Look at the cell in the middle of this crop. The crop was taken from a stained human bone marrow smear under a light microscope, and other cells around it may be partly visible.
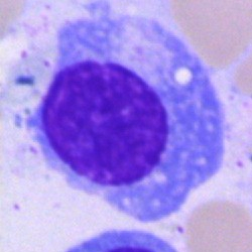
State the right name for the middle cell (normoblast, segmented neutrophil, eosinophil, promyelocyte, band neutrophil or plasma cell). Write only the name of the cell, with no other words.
plasma cell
